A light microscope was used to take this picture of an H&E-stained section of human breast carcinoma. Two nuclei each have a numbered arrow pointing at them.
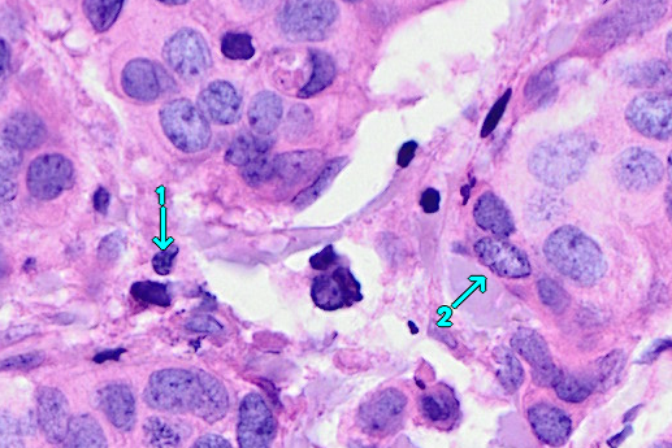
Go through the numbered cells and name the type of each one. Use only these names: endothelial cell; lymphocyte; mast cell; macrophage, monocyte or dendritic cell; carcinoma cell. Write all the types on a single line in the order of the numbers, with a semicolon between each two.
lymphocyte; carcinoma cell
